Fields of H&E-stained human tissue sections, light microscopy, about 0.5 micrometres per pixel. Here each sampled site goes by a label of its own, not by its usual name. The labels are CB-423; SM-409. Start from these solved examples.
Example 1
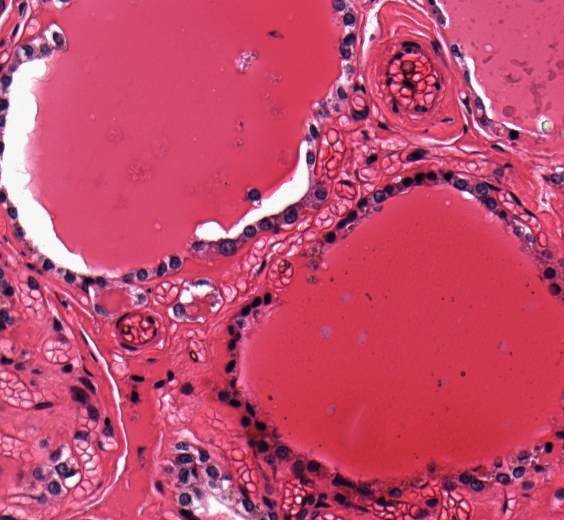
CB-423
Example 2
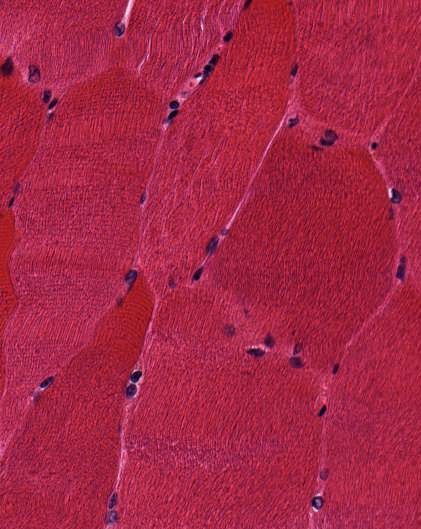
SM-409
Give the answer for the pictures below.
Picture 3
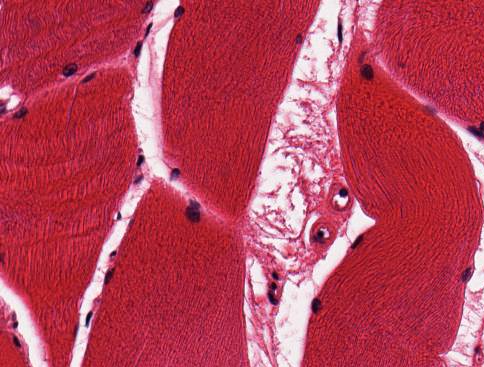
SM-409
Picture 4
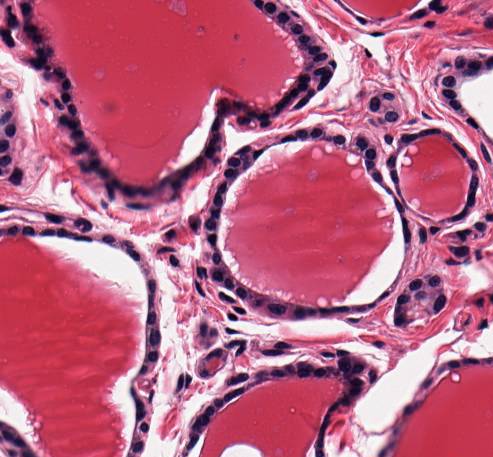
CB-423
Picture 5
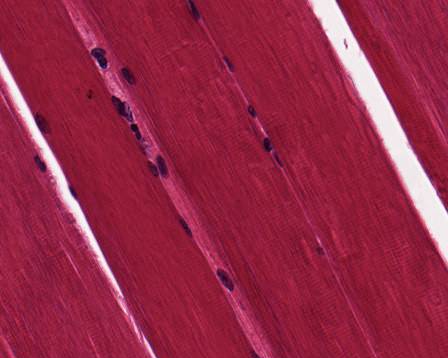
SM-409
